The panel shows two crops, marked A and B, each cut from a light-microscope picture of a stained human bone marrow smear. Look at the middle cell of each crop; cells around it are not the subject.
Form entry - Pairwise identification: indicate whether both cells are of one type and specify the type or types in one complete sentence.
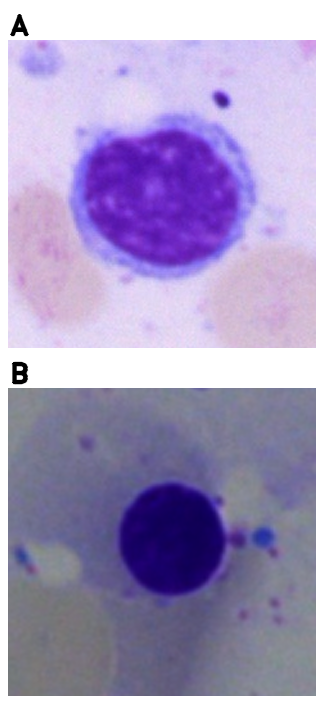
No, crop A contains a lymphocyte, while crop B contains an erythroblast.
